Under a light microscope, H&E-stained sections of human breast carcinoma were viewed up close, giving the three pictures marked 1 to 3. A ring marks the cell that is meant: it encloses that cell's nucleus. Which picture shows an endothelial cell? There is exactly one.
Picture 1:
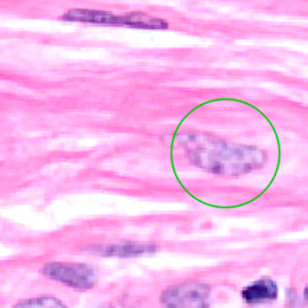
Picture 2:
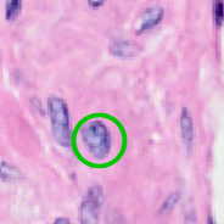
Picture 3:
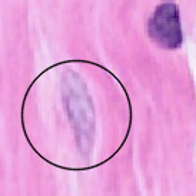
2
